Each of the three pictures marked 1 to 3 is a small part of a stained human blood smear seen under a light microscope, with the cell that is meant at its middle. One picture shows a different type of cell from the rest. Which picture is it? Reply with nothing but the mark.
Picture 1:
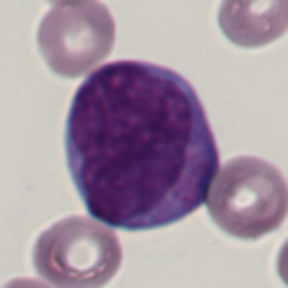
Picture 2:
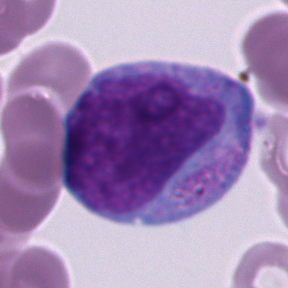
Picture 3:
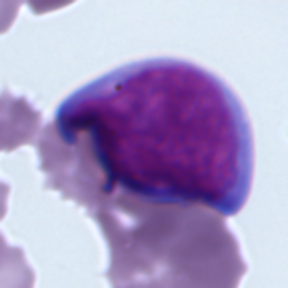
3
